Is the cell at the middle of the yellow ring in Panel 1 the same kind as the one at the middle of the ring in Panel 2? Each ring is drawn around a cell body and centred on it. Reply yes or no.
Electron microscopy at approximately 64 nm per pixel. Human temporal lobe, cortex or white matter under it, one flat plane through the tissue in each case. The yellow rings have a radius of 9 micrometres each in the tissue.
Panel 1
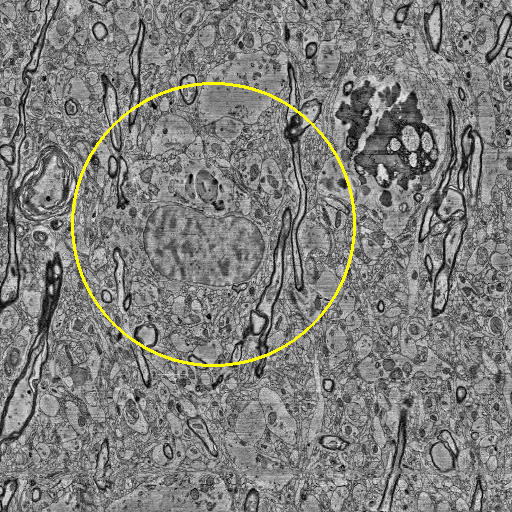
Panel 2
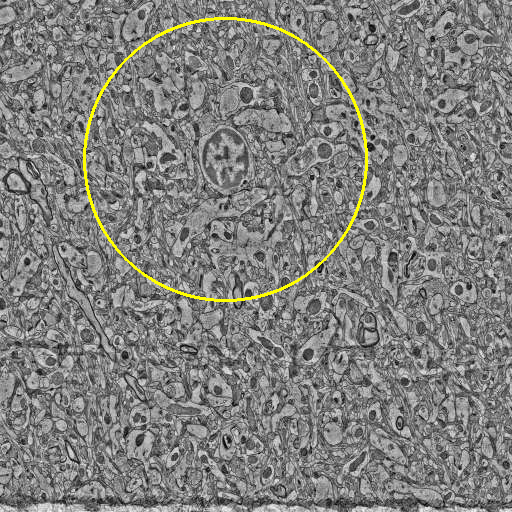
no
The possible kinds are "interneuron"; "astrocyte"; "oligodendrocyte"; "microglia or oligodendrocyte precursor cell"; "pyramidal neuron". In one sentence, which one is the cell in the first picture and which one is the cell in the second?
The cell ringed in the second picture is a microglial cell or oligodendrocyte precursor cell, whereas the one ringed in the first is an oligodendrocyte.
